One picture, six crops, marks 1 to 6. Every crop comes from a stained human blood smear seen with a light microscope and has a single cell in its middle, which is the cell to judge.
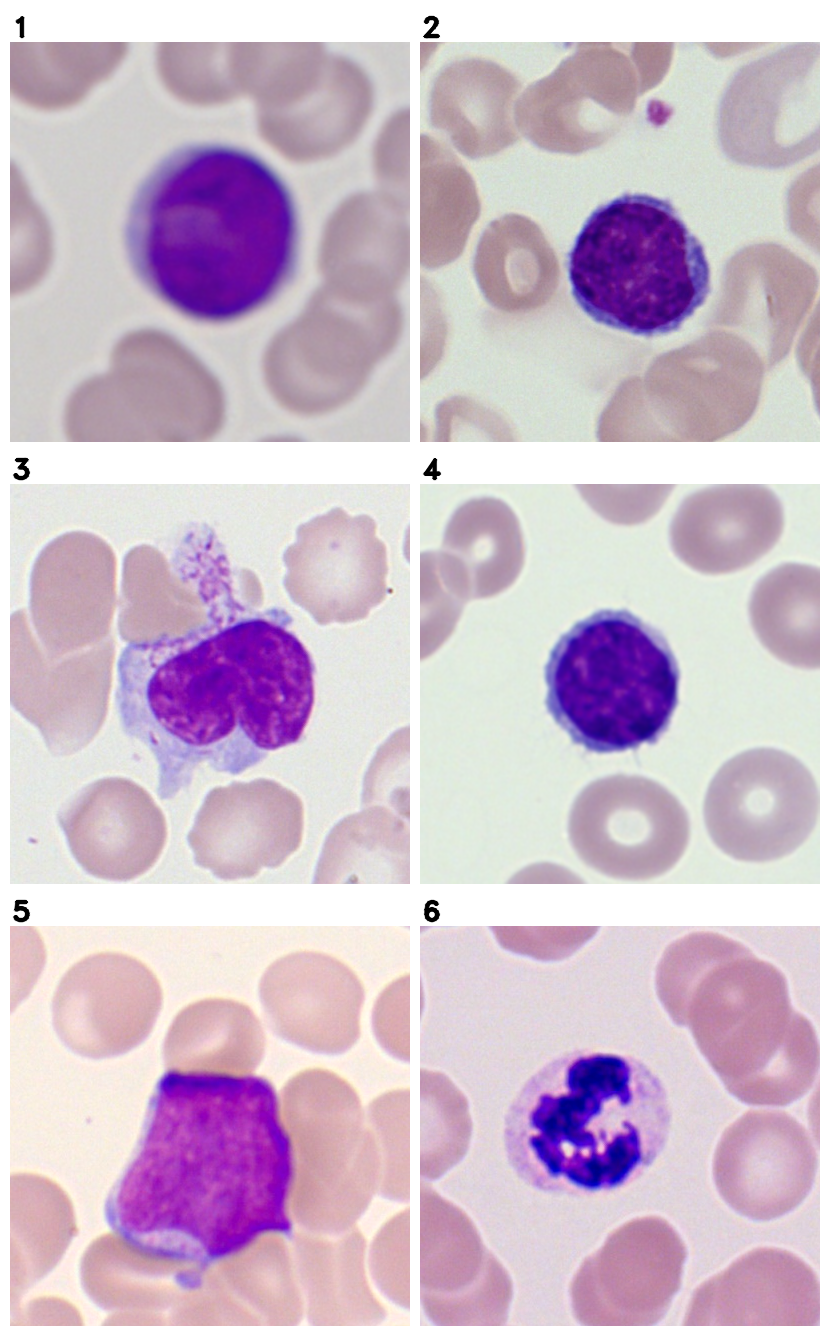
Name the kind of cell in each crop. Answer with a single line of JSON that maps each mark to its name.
{"1": "myeloblast", "2": "lymphocyte", "3": "lymphocyte", "4": "lymphocyte", "5": "myeloblast", "6": "segmented neutrophil"}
